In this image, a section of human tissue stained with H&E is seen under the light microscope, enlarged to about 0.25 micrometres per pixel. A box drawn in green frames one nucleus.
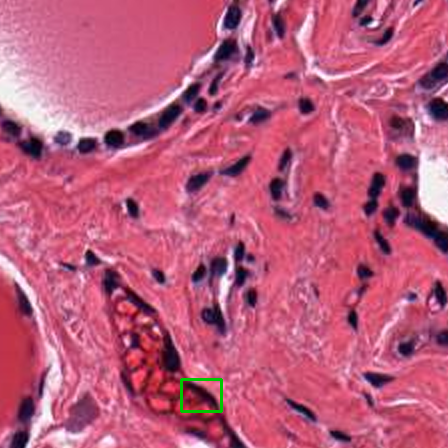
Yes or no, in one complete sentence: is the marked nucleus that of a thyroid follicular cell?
No, the marked nucleus is contained in a supporting cell and not in a thyroid follicular cell.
